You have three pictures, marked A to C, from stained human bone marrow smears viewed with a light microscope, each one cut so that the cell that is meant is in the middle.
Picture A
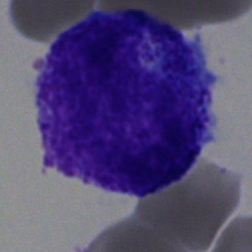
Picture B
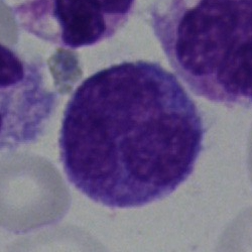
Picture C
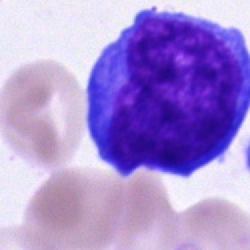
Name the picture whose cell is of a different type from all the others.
A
